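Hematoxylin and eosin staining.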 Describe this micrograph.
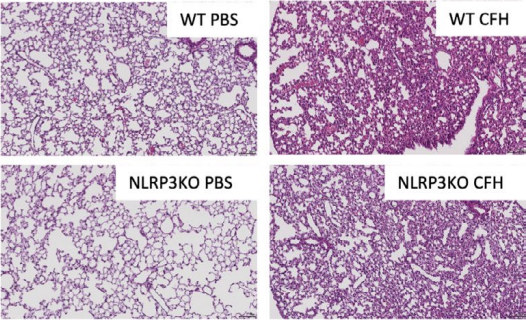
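Four fields of lung parenchyma stained pink and purple, made of thin alveolar walls around open air spaces. In the two left-hand fields the alveolar walls are thin and the air spaces are wide and clear. In the two right-hand fields, and most of all in the upper right, the walls are thickened and more densely crowded with purple nuclei, and the air spaces are smaller.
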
